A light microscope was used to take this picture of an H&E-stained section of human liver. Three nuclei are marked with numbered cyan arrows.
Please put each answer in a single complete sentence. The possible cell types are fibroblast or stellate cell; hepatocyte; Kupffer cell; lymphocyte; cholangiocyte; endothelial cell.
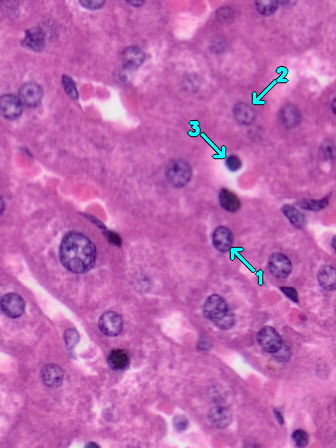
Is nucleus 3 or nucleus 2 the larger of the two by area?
Of the two, number 2 is bigger and takes up about 1.5 times the area of number 3.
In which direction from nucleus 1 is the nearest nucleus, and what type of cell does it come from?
Lying above nucleus 1, the nearest nucleus is that of a fibroblast or stellate cell.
